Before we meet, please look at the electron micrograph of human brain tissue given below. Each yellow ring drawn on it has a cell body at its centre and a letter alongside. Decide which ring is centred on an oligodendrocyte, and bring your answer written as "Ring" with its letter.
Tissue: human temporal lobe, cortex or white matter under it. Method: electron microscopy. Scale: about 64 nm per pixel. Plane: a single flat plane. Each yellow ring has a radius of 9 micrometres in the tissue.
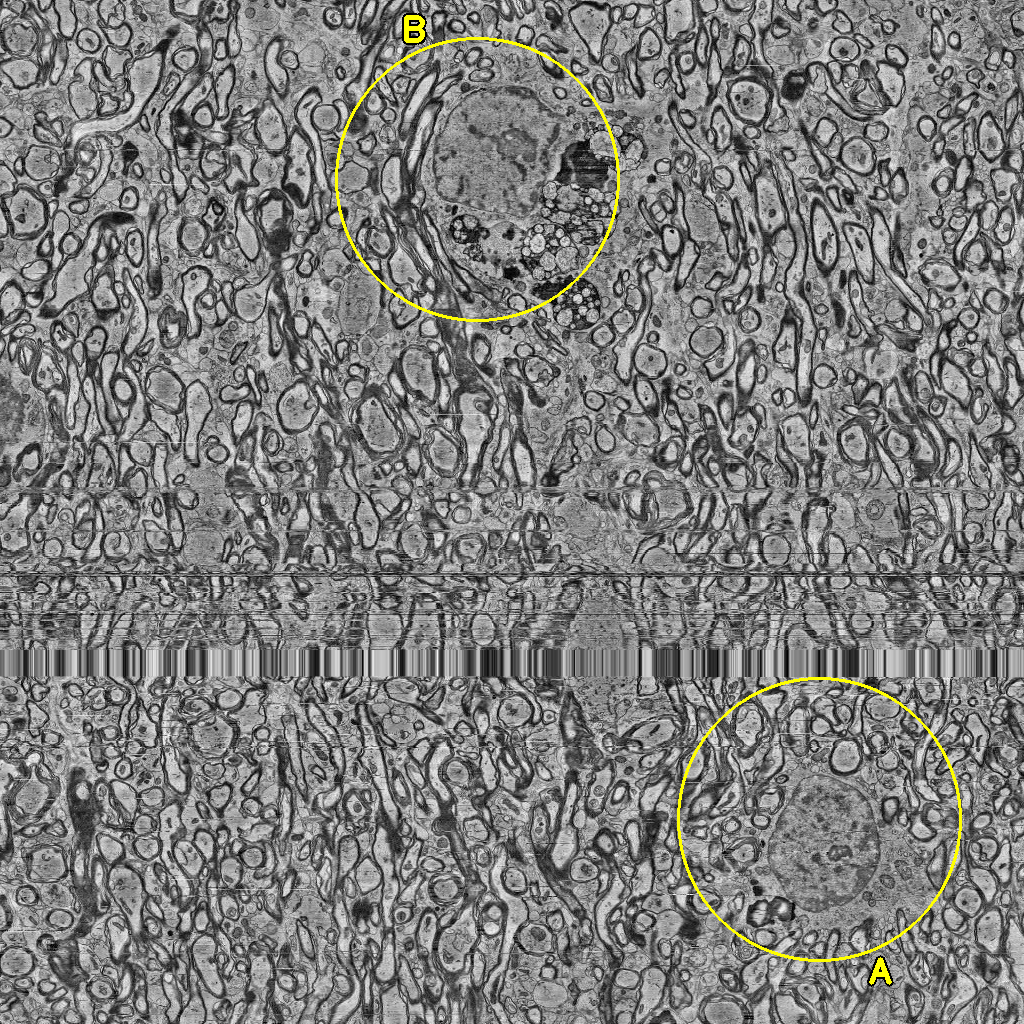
Ring A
